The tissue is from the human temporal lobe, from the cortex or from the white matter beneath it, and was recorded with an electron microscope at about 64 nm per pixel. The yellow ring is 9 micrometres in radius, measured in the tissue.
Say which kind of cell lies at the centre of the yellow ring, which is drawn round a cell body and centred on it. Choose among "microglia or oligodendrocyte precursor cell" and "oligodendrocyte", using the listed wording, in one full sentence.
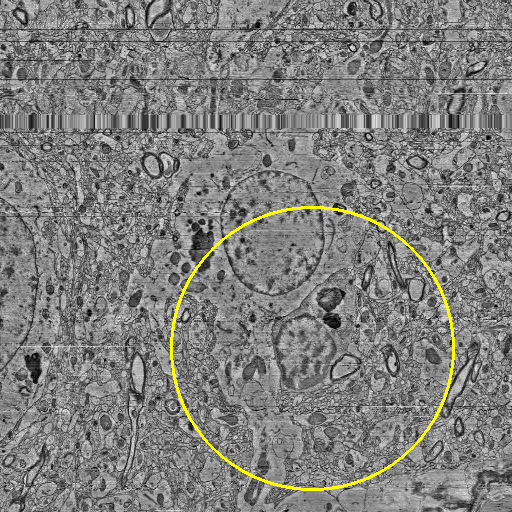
Going by the list, the cell at the yellow ring's centre is an oligodendrocyte.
